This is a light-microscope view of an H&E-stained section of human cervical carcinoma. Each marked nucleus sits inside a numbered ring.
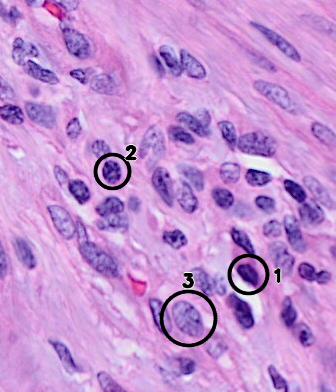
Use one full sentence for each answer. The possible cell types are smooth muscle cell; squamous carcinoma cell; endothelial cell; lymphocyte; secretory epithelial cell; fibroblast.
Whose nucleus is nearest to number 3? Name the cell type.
The cell nearest to number 3 is an endothelial cell.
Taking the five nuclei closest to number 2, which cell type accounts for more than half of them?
Around number 2, most of the five nearest nuclei are those of lymphocytes.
